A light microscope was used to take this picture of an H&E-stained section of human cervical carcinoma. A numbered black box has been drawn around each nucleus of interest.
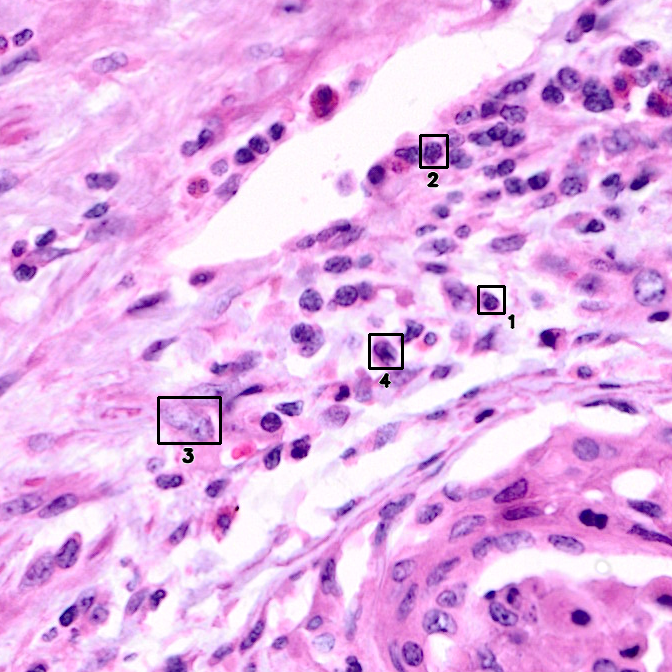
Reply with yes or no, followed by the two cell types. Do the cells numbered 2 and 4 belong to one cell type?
Yes, both are lymphocytes.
